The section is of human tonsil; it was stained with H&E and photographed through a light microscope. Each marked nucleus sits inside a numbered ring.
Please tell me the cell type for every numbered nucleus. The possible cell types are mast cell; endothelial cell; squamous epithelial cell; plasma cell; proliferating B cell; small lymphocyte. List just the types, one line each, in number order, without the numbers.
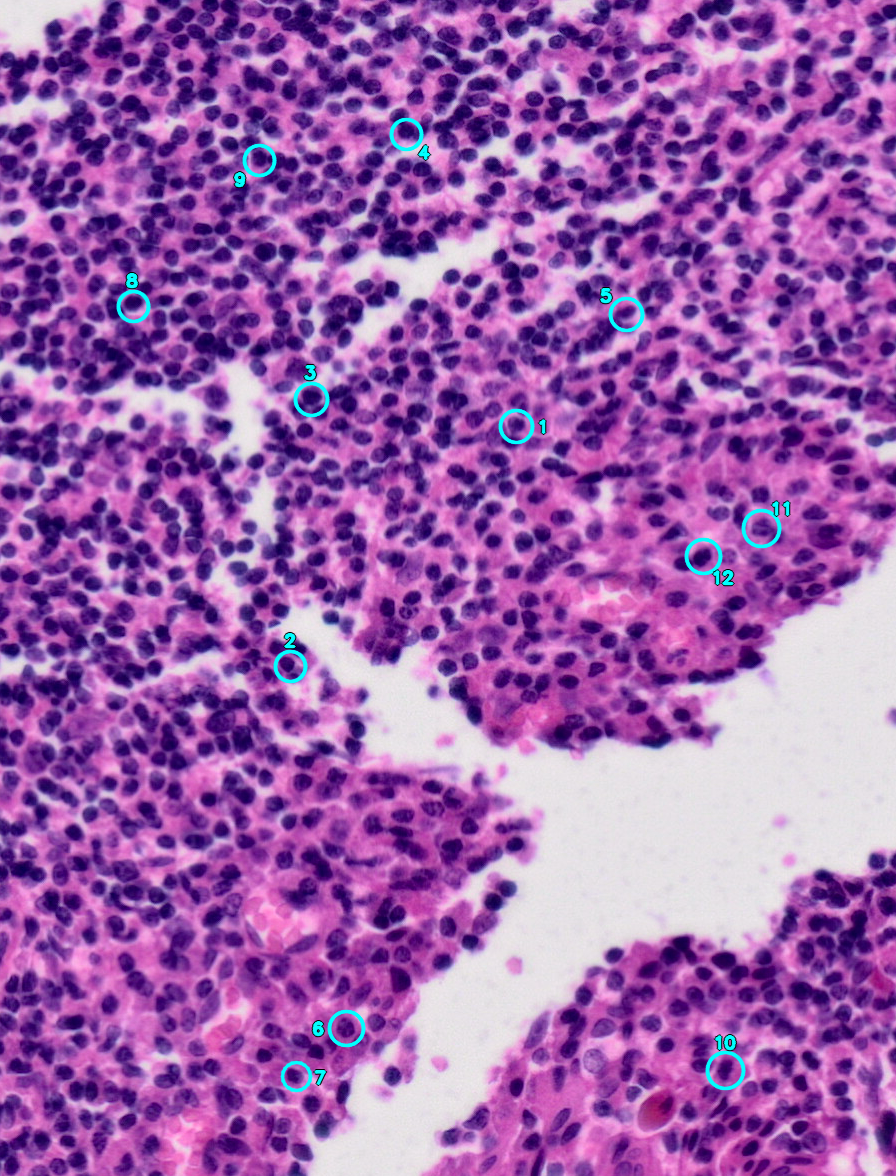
small lymphocyte
small lymphocyte
small lymphocyte
small lymphocyte
small lymphocyte
plasma cell
plasma cell
small lymphocyte
small lymphocyte
plasma cell
plasma cell
plasma cell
